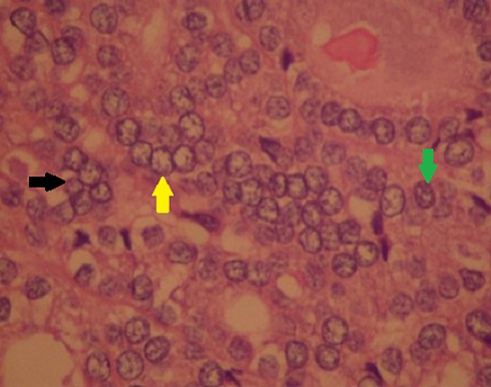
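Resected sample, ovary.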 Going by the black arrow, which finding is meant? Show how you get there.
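Crowding and overlapping nuclei. Nuclei lie tightly packed against each other. Several nuclei overlap one another at the arrow.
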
